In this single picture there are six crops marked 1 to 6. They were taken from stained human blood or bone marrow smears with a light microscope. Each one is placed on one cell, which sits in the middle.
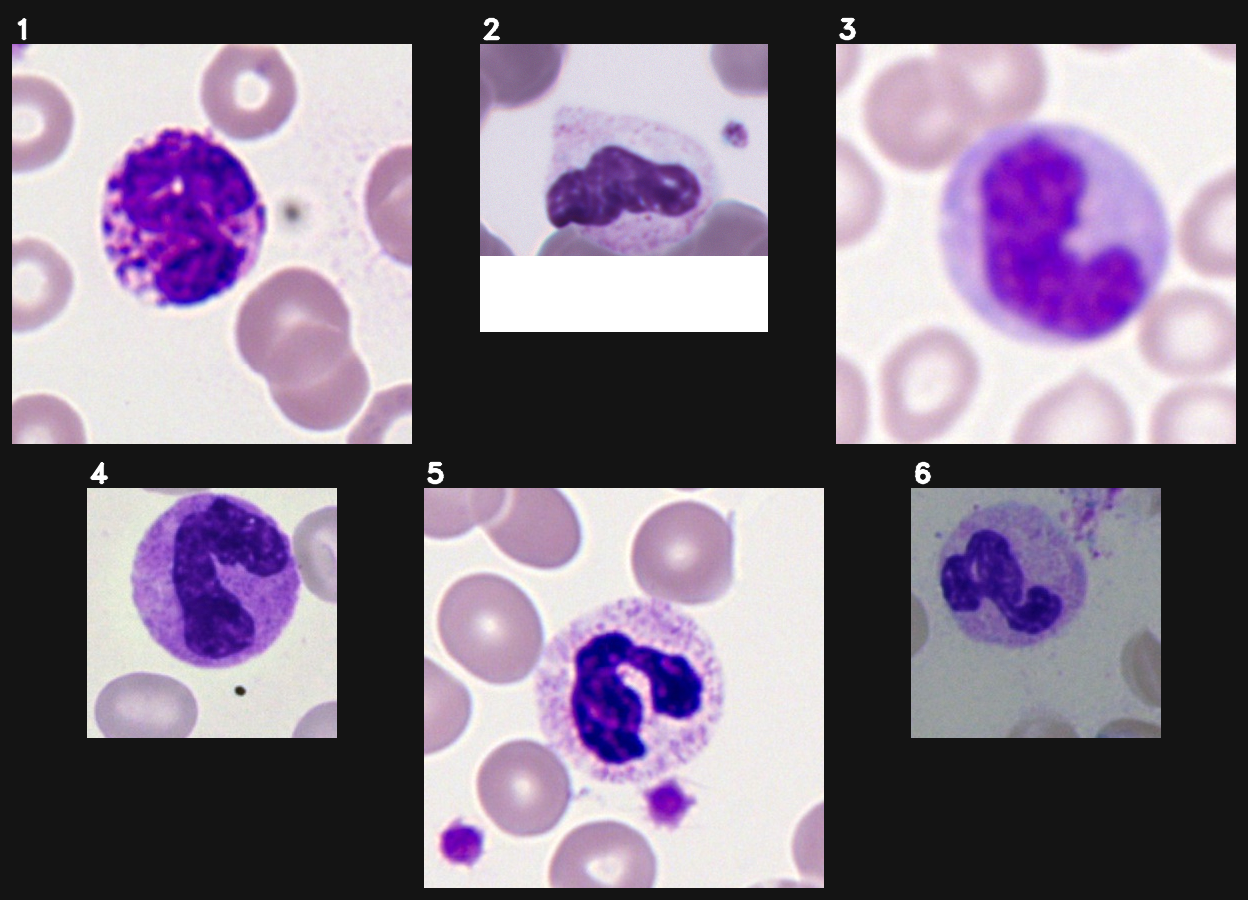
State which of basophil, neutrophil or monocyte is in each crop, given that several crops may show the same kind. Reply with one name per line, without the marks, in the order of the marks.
basophil
neutrophil
monocyte
neutrophil
neutrophil
neutrophil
